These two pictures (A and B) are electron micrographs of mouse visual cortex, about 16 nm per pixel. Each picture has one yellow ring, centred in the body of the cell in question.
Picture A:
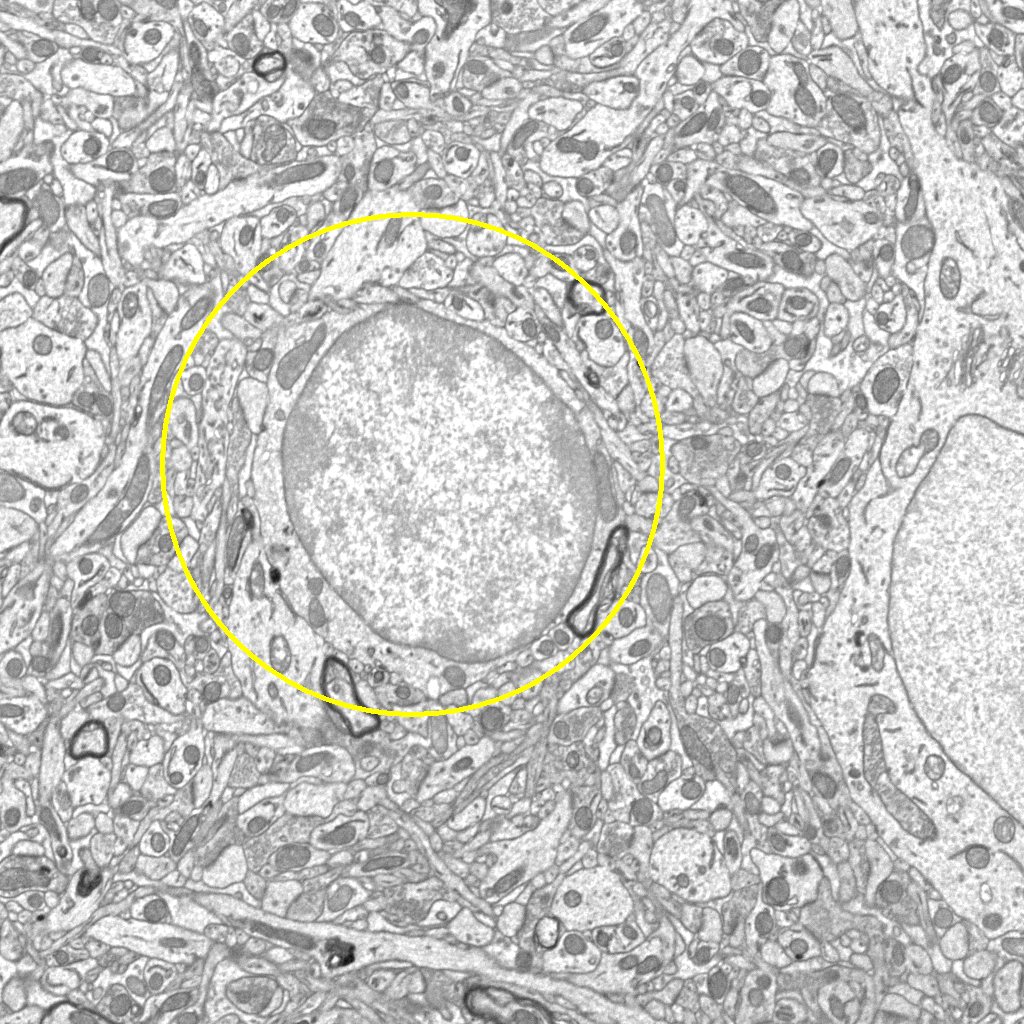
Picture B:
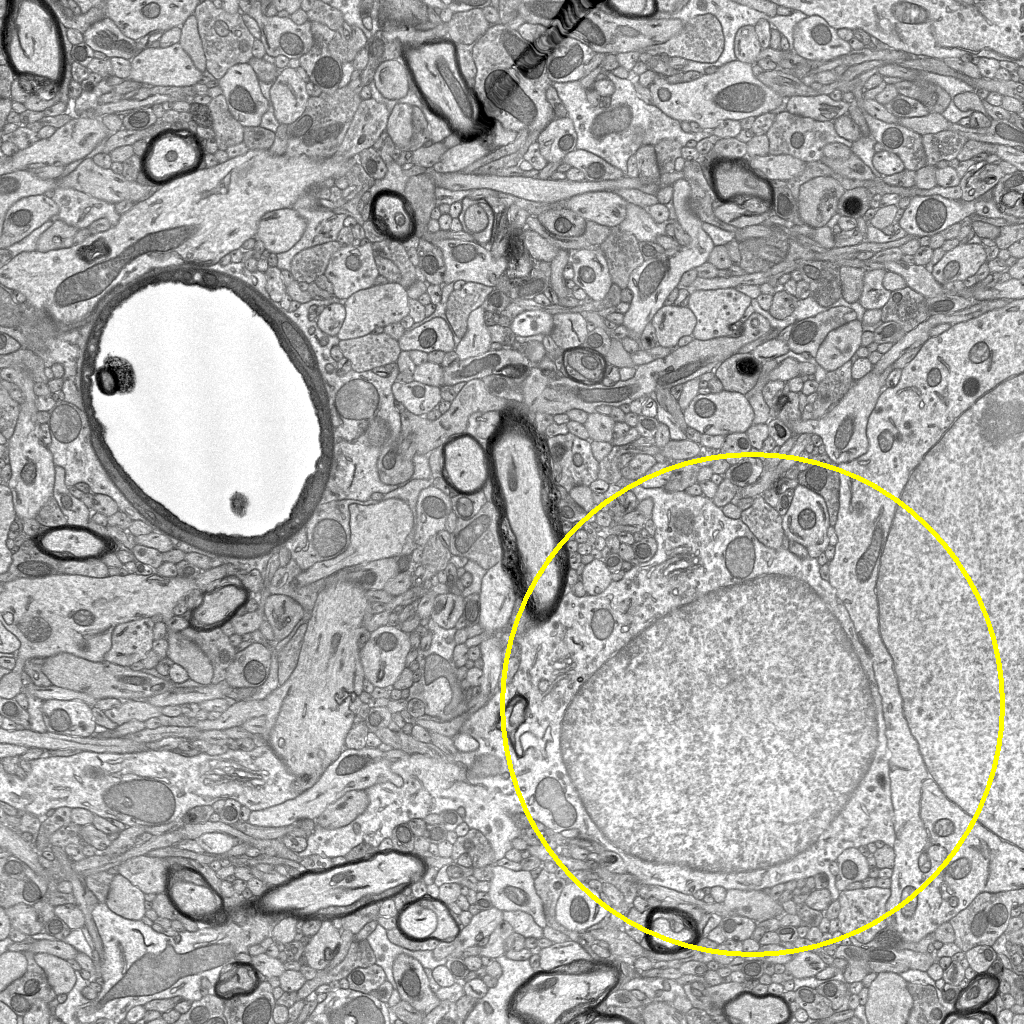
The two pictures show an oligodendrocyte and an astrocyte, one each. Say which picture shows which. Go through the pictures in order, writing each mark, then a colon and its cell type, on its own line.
A: oligodendrocyte
B: astrocyte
